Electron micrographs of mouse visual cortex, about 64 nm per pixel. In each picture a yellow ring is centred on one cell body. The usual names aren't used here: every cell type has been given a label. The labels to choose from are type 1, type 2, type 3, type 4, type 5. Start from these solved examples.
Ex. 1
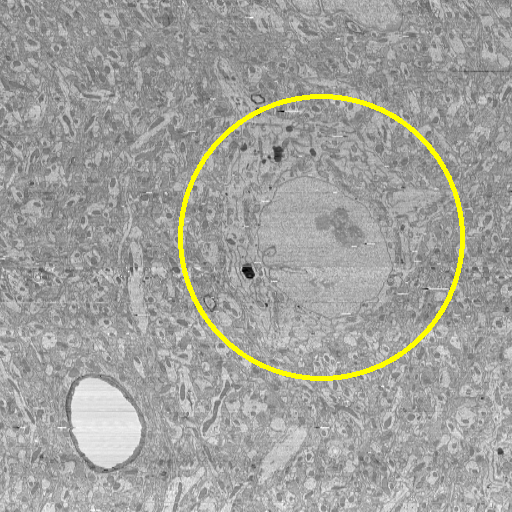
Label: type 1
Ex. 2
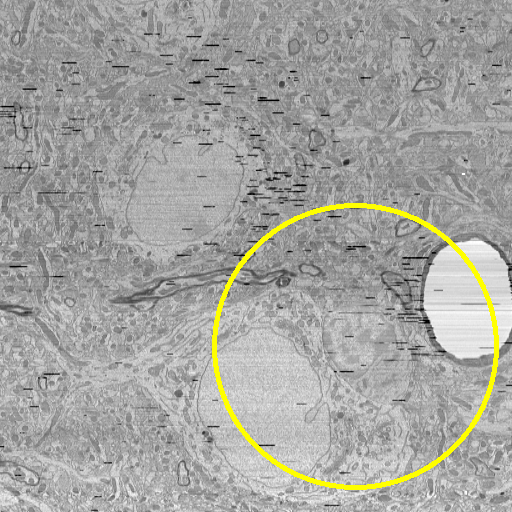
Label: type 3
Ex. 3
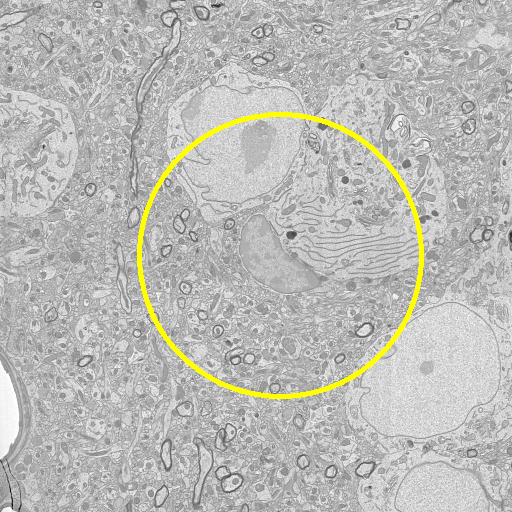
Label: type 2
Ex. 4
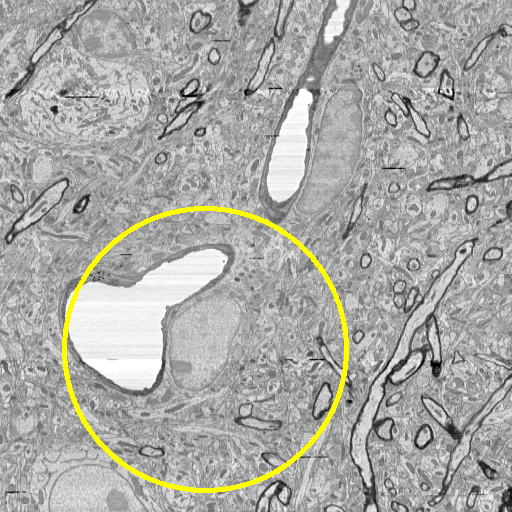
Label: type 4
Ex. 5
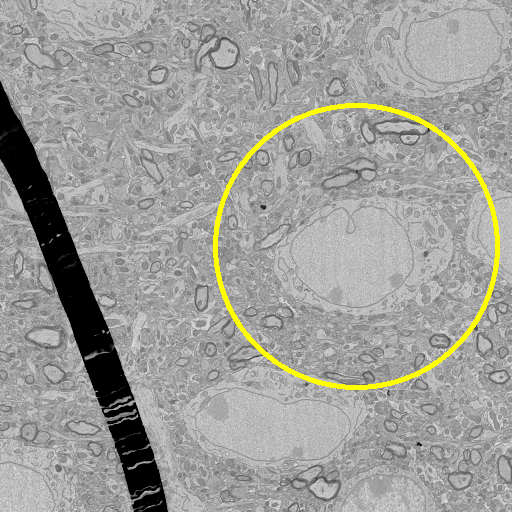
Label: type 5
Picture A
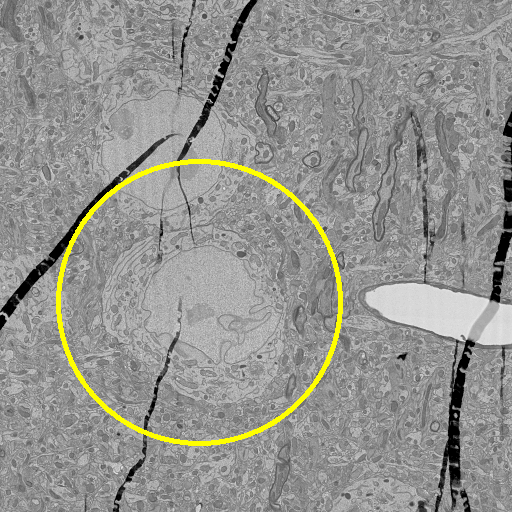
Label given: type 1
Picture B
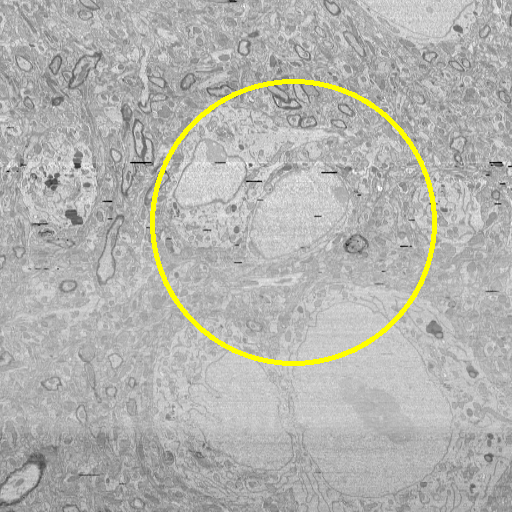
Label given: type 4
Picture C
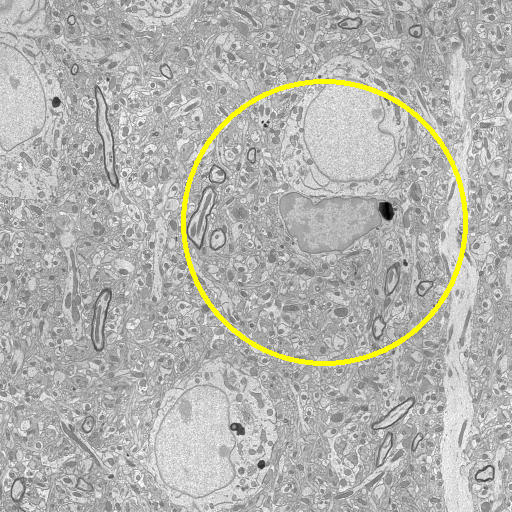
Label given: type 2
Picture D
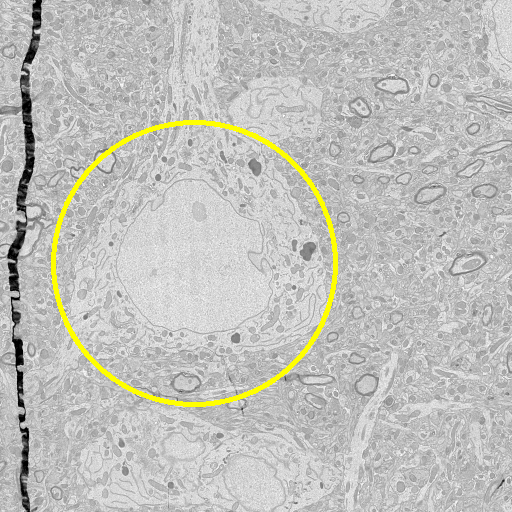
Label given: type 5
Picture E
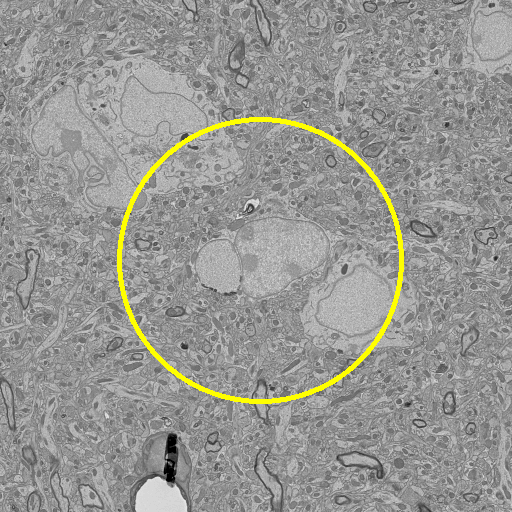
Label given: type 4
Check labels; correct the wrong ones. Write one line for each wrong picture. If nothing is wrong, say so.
All correct.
